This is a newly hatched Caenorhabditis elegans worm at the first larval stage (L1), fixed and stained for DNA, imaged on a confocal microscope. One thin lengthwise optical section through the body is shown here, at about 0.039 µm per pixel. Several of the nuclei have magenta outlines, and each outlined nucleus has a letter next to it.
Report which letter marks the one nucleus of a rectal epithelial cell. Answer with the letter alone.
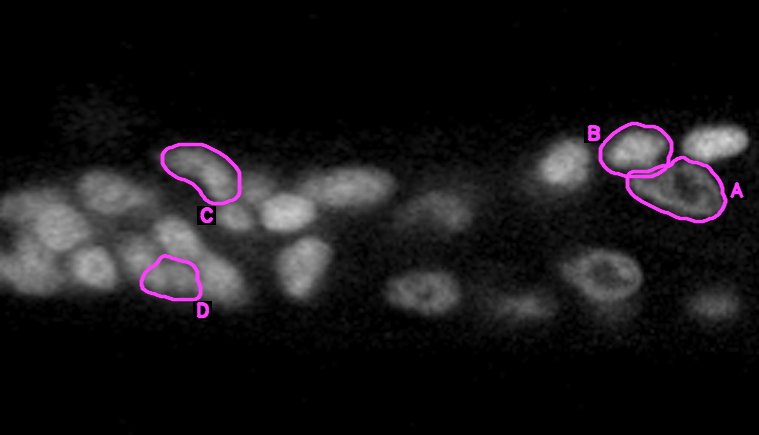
C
